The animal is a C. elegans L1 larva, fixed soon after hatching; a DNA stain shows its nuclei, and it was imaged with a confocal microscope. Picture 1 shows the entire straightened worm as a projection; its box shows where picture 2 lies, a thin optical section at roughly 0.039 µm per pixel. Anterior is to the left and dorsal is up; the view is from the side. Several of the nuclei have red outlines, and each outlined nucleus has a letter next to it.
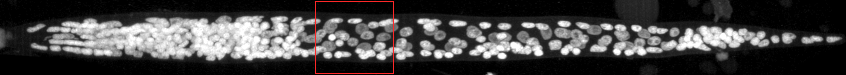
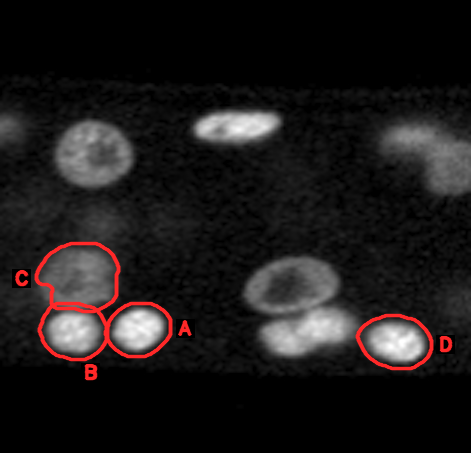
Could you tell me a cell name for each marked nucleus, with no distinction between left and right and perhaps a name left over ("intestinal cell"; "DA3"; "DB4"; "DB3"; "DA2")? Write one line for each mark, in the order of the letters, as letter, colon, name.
A: DA2
B: DB3
C: intestinal cell
D: DA3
